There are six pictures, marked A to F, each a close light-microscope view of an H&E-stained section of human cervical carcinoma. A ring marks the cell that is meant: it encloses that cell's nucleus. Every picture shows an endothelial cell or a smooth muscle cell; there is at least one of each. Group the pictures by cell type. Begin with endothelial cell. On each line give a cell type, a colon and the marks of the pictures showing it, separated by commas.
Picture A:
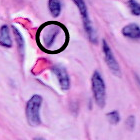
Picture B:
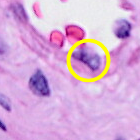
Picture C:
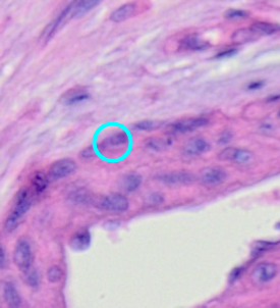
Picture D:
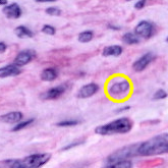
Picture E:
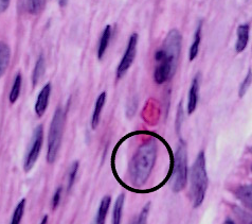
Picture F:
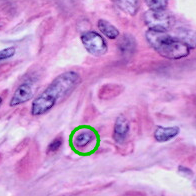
endothelial cell: A, B, E
smooth muscle cell: C, D, F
